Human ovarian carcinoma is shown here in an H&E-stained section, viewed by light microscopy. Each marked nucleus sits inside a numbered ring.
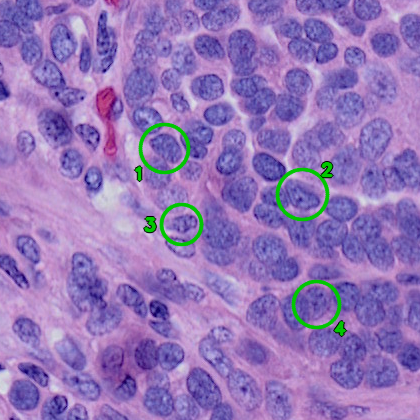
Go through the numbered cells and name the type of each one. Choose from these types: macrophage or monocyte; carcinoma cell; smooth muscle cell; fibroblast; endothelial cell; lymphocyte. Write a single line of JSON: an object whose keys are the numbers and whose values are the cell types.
{"1": "carcinoma cell", "2": "carcinoma cell", "3": "macrophage or monocyte", "4": "carcinoma cell"}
